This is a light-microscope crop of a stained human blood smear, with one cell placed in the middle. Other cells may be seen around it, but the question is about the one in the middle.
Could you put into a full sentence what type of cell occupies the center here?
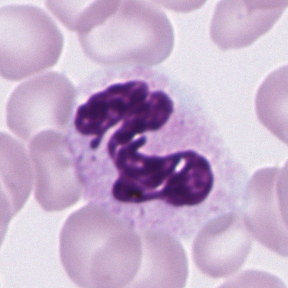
The central cell, amid any neighbouring cells, is a neutrophil.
